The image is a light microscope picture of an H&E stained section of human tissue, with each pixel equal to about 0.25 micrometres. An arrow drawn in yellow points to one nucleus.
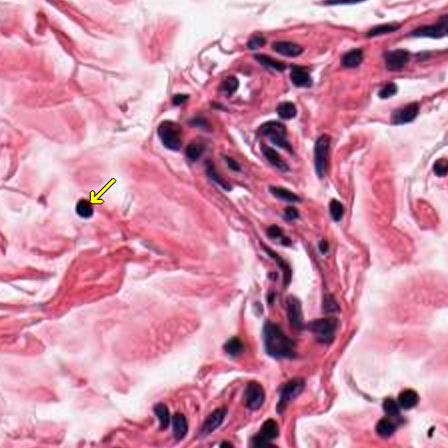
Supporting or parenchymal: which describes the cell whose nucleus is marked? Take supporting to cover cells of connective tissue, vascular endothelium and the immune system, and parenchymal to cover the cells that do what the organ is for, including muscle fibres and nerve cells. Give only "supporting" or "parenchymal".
supporting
